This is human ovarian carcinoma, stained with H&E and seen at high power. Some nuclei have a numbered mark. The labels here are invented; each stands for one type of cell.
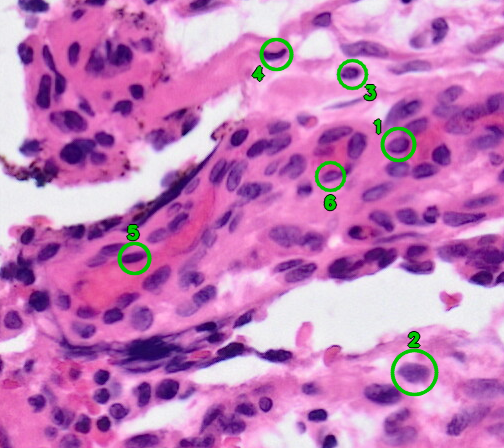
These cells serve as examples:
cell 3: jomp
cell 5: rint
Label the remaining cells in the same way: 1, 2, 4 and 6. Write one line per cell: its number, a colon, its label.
1: rint
2: jomp
4: jomp
6: rint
